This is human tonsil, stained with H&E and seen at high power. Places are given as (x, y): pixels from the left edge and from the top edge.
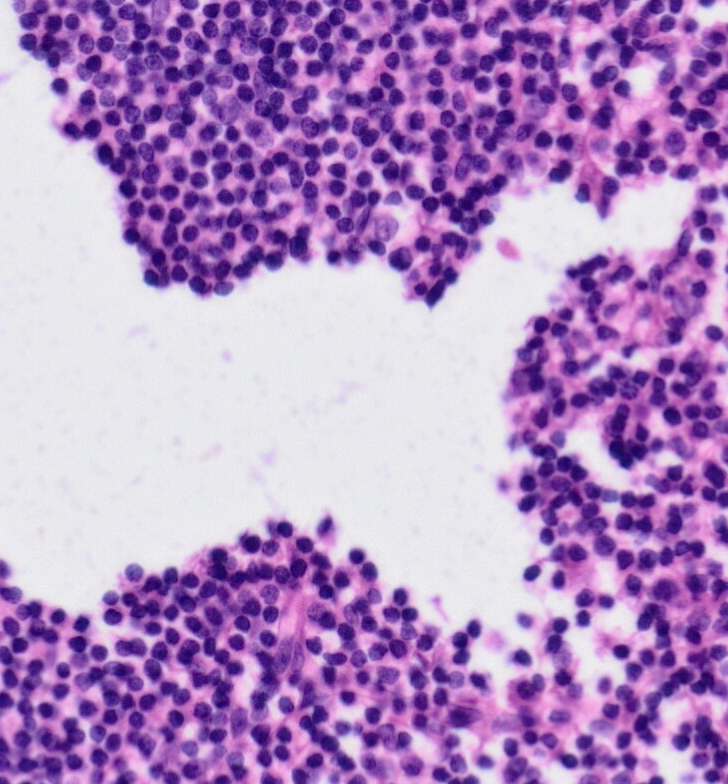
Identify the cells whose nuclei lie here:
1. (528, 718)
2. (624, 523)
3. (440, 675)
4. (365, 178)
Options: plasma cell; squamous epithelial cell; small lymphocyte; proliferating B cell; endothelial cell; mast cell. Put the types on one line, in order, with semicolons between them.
endothelial cell; small lymphocyte; small lymphocyte; small lymphocyte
